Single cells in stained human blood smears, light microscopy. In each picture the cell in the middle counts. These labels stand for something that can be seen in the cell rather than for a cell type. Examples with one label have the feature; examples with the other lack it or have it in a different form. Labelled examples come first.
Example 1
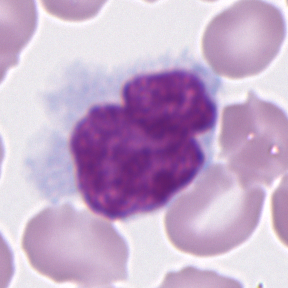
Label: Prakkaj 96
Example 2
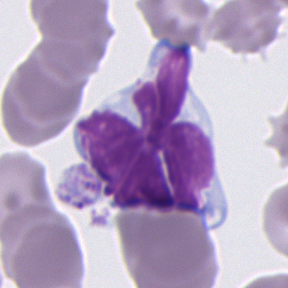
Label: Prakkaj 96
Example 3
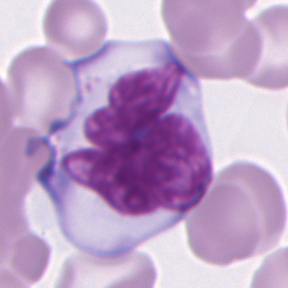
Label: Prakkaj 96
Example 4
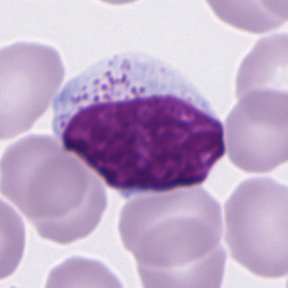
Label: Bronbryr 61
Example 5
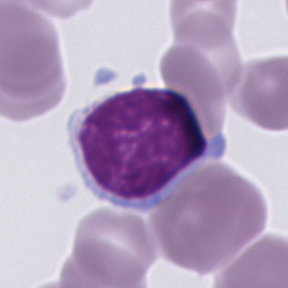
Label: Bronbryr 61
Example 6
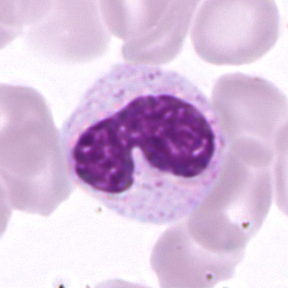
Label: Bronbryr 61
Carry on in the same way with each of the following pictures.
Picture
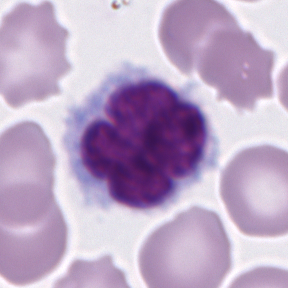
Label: Prakkaj 96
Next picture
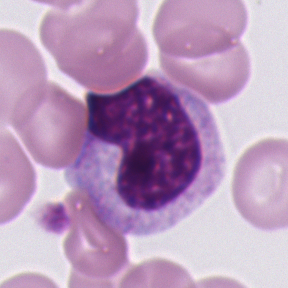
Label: Bronbryr 61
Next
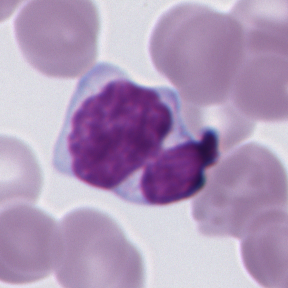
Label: Prakkaj 96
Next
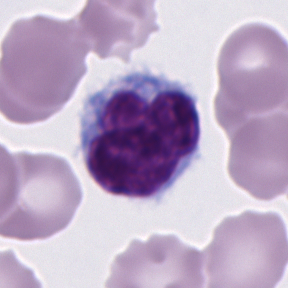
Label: Prakkaj 96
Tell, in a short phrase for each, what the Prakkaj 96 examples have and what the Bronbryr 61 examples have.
Seen in Prakkaj 96: lobed nucleus; seen in Bronbryr 61: single compact nucleus.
